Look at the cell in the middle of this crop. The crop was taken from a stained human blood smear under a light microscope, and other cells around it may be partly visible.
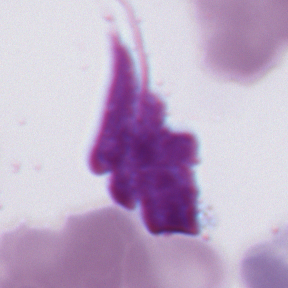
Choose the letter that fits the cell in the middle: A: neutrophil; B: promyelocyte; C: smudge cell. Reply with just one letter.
C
